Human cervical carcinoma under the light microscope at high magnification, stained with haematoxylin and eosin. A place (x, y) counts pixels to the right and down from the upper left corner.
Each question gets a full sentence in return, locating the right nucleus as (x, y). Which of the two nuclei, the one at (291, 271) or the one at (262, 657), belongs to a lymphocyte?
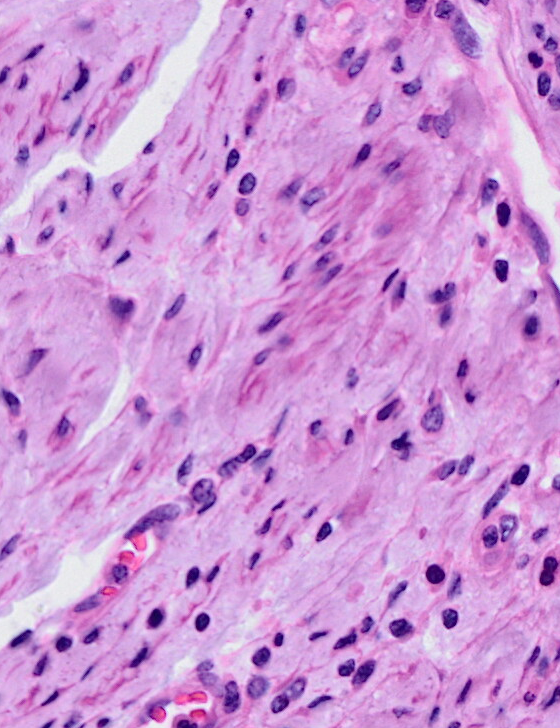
The nucleus at (262, 657) is the one of the two that belongs to a lymphocyte.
